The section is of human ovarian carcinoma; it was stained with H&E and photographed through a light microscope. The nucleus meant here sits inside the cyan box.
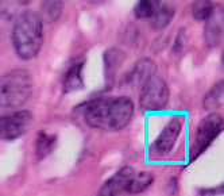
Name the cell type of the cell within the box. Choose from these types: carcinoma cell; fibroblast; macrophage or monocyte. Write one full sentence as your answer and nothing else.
For the purposes of cell typing, the cell within the box is categorized as a carcinoma cell.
